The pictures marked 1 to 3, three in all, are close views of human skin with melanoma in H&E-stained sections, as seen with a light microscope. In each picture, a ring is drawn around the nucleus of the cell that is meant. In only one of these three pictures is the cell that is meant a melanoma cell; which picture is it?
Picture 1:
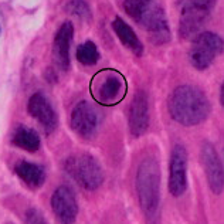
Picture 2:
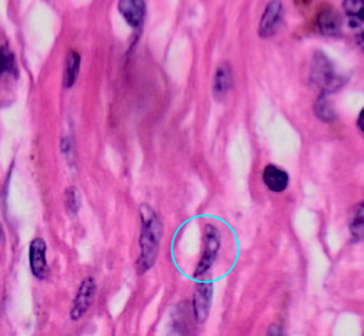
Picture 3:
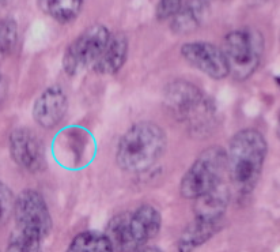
3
